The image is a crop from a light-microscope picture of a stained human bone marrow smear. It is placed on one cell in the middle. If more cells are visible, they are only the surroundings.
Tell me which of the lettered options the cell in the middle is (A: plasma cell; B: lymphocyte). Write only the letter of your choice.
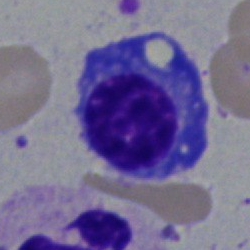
A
